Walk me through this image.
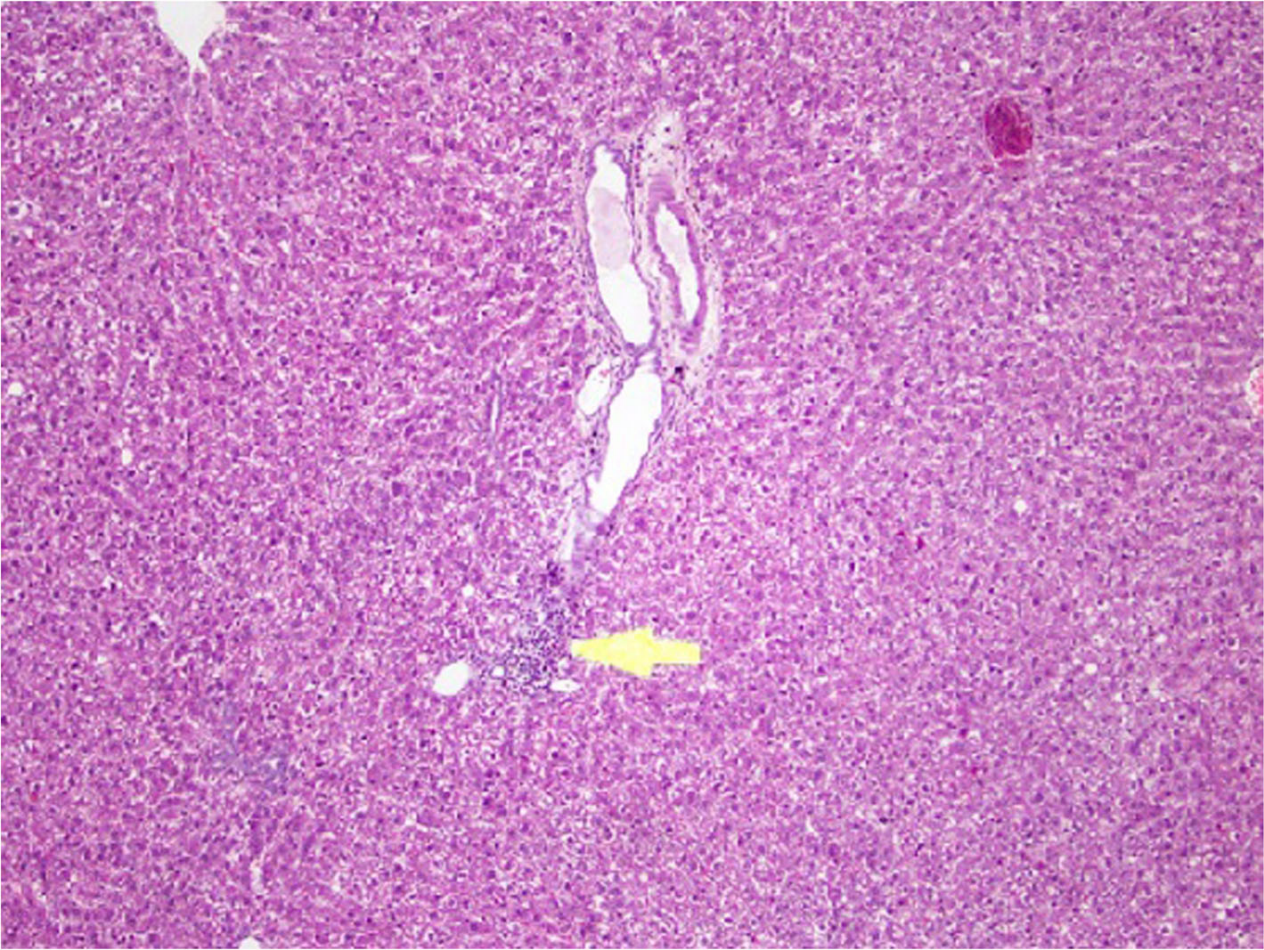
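This low-power view shows liver parenchyma made of sheets of pink polygonal hepatocytes with purple nuclei. The cells are arranged in cords that run between small, pale vascular spaces scattered across the field. Near the centre lies a small elongated structure with several thin-walled, pale vessel lumens surrounded by a little loose tissue.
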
